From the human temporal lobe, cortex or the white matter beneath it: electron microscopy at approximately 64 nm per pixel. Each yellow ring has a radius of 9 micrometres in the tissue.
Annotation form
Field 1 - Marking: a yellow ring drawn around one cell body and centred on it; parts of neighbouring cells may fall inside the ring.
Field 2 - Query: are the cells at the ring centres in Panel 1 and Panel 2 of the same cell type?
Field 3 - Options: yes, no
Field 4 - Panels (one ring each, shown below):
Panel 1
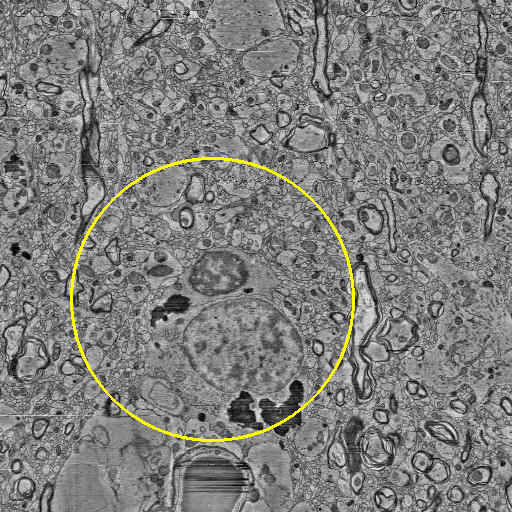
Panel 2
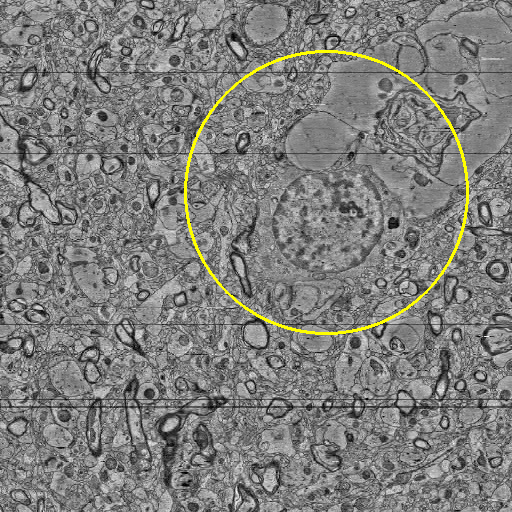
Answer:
yes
